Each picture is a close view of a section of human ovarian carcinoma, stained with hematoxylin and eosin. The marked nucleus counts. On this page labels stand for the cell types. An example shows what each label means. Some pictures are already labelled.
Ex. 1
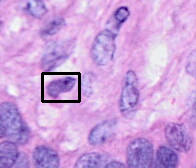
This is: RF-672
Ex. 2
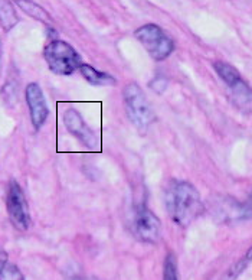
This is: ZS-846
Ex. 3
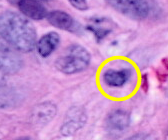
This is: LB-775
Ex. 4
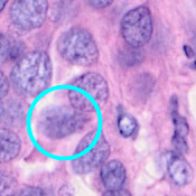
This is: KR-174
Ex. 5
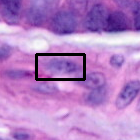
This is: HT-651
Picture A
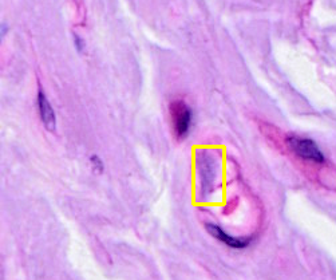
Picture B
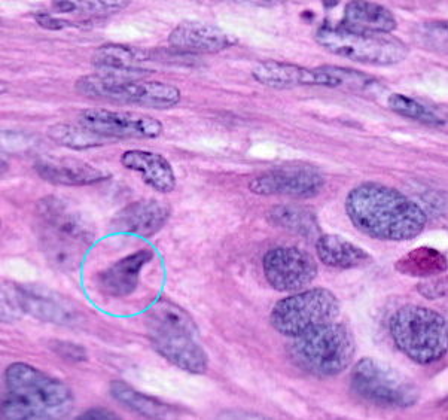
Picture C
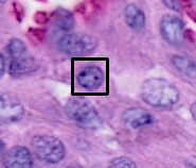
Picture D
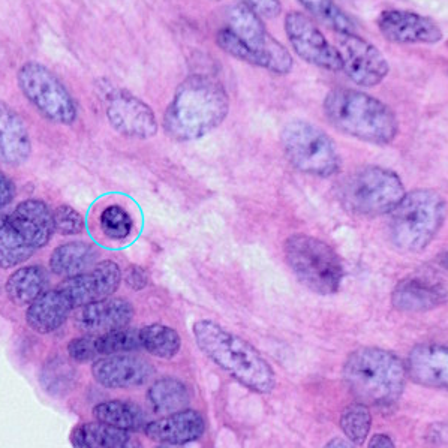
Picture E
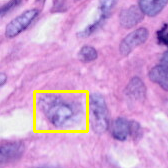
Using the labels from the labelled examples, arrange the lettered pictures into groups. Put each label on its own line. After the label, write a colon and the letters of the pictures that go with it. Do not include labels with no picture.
RF-672: B, C
ZS-846: E
LB-775: D
HT-651: A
